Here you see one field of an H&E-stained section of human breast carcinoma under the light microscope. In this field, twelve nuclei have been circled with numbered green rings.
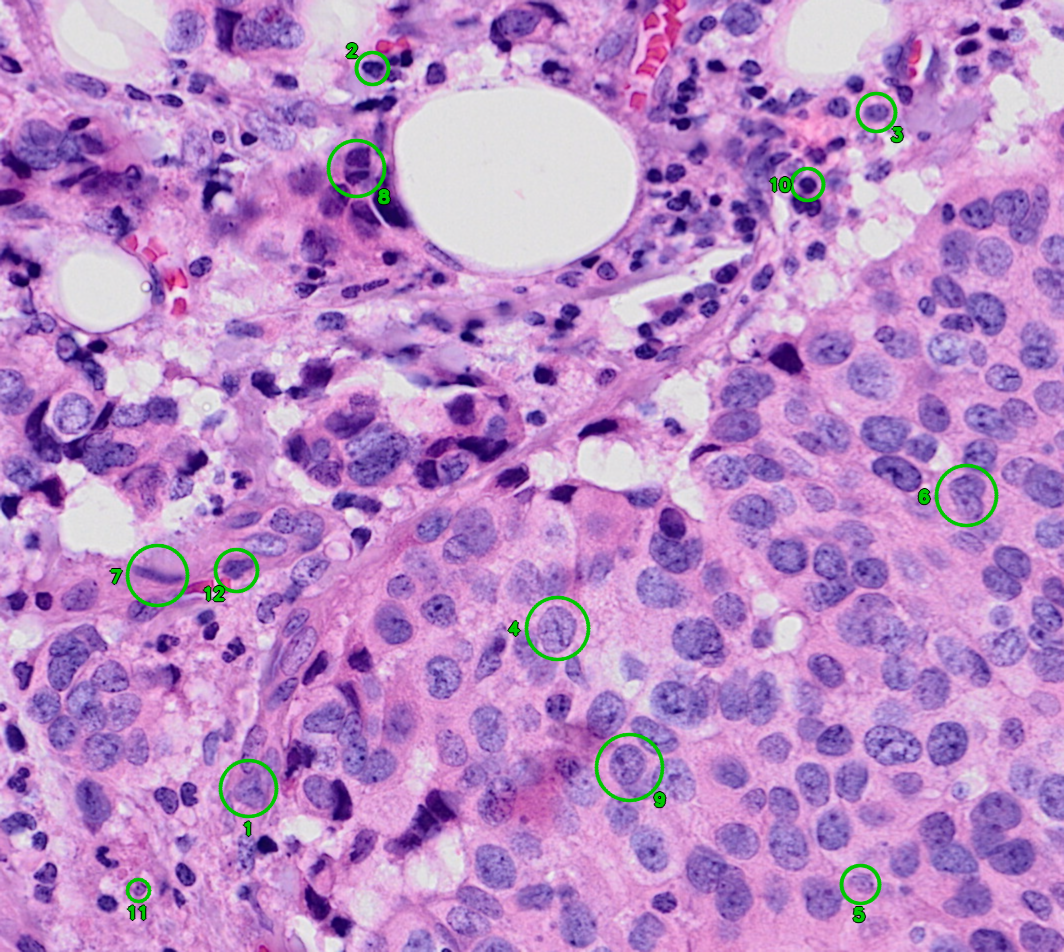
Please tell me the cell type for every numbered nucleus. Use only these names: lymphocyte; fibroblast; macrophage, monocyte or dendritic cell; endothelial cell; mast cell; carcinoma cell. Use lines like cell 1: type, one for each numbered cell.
cell 1: endothelial cell
cell 2: lymphocyte
cell 3: mast cell
cell 4: carcinoma cell
cell 5: carcinoma cell
cell 6: carcinoma cell
cell 7: endothelial cell
cell 8: carcinoma cell
cell 9: carcinoma cell
cell 10: lymphocyte
cell 11: macrophage, monocyte or dendritic cell
cell 12: endothelial cell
